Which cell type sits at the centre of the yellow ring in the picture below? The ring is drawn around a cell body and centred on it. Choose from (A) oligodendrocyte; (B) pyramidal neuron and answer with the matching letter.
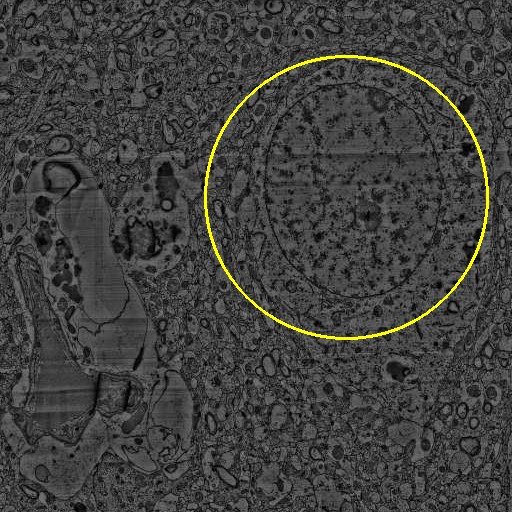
B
